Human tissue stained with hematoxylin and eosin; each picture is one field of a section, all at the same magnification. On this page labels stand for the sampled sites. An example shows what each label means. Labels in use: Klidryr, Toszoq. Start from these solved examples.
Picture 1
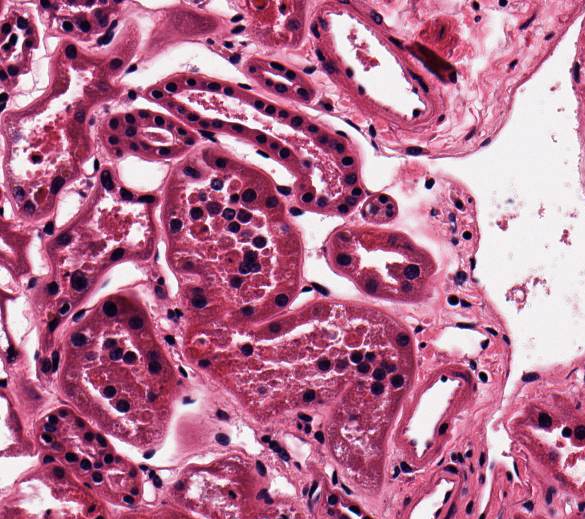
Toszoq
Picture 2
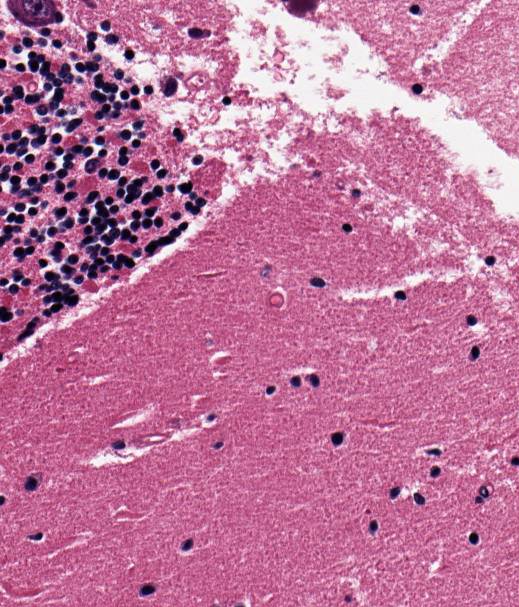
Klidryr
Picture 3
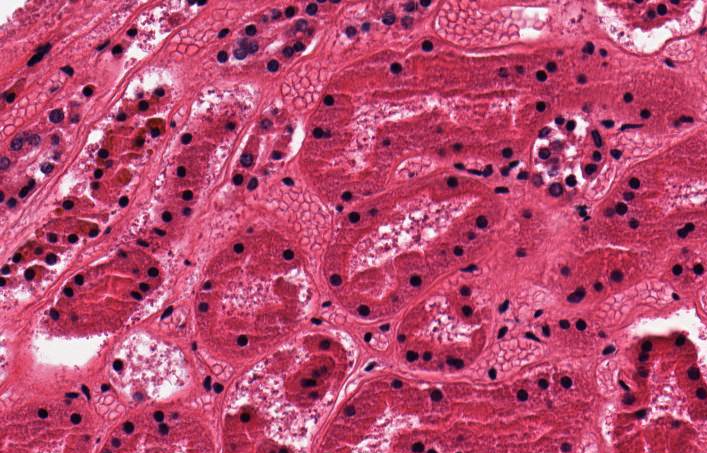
Toszoq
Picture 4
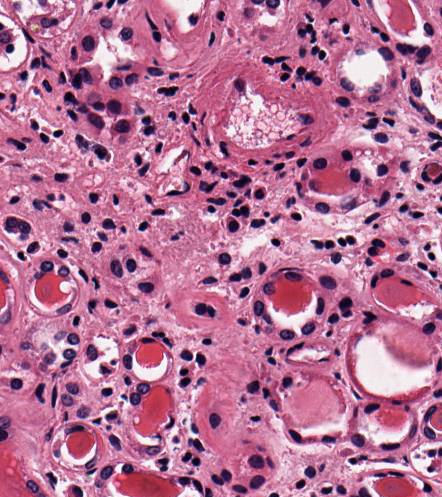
Toszoq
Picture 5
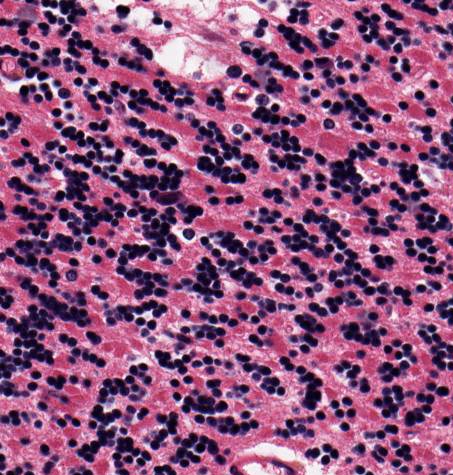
Klidryr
